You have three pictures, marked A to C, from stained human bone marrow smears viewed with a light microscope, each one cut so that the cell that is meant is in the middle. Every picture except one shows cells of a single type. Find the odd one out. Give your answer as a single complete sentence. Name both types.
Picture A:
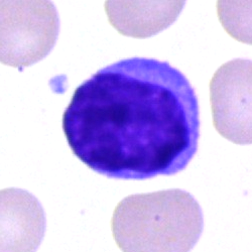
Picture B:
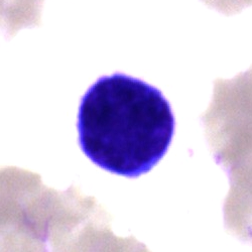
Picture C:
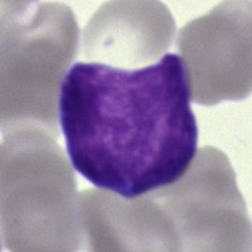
All pictures except C show lymphocytes; picture C shows a blast.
